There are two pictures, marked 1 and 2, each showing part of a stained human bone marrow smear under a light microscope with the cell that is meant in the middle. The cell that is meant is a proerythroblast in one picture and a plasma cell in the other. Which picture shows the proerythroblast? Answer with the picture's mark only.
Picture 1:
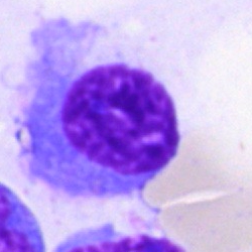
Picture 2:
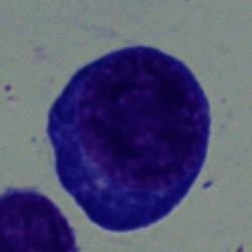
2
